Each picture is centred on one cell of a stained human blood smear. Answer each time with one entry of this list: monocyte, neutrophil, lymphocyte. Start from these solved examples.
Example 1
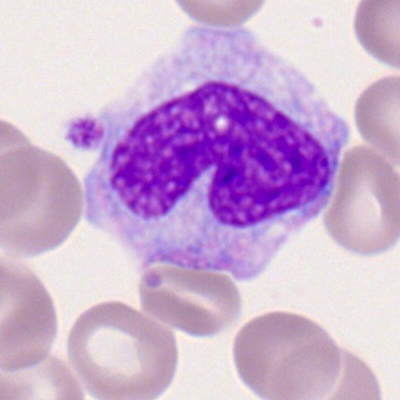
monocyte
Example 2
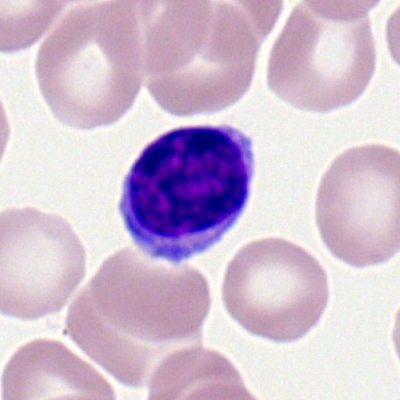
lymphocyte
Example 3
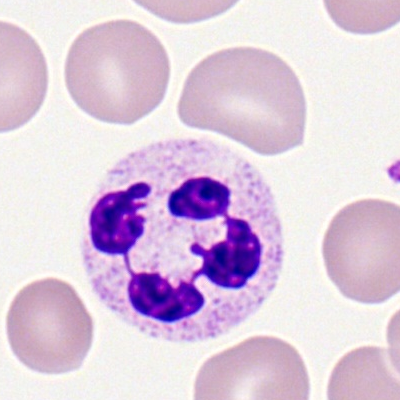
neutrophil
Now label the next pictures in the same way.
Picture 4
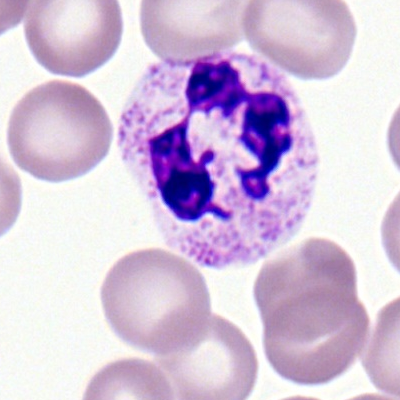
neutrophil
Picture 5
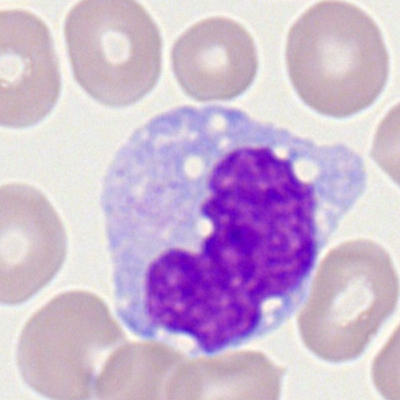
monocyte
